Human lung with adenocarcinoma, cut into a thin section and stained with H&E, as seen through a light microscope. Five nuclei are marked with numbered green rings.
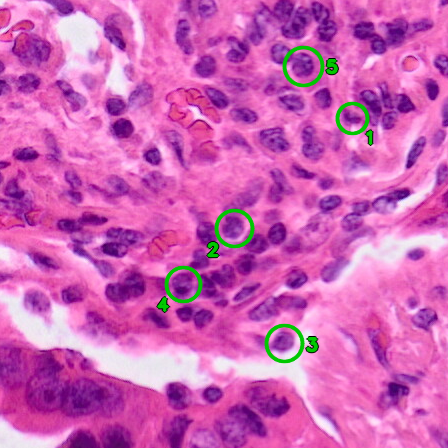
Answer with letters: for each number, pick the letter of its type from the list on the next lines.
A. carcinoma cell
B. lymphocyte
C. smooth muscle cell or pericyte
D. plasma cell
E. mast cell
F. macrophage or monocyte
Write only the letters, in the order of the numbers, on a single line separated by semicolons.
D; B; B; B; D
